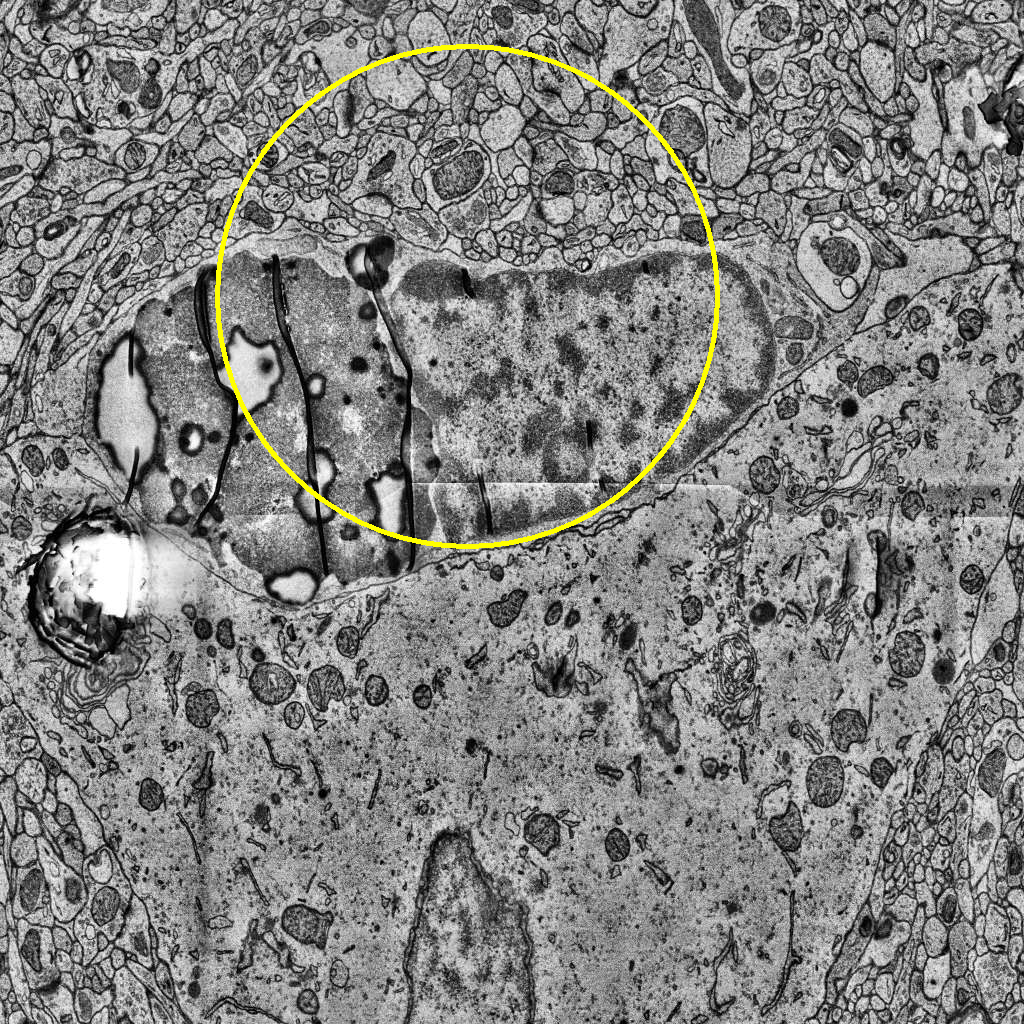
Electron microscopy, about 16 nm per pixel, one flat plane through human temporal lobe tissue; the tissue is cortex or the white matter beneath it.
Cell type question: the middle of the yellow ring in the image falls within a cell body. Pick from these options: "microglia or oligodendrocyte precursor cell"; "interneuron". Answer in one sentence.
The cell body at the center of the ring belongs to a microglial cell or oligodendrocyte precursor cell.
